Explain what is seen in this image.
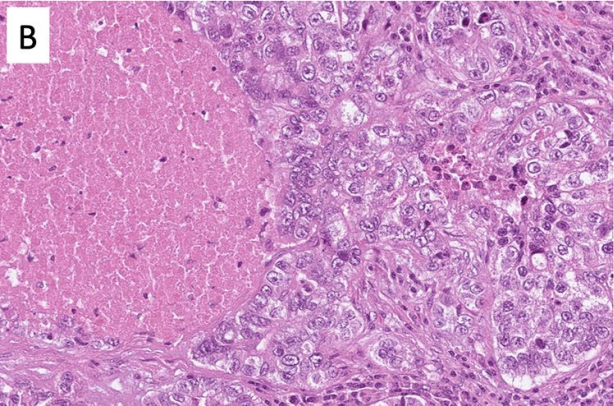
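Large tumor cells form nests separated by pink fibrous stroma, with vesicular nuclei of varying size and shape, prominent nucleoli and a moderate amount of pale to pink cytoplasm. On the left lies a broad, sharply bordered pink area of necrosis with only scattered nuclear debris.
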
